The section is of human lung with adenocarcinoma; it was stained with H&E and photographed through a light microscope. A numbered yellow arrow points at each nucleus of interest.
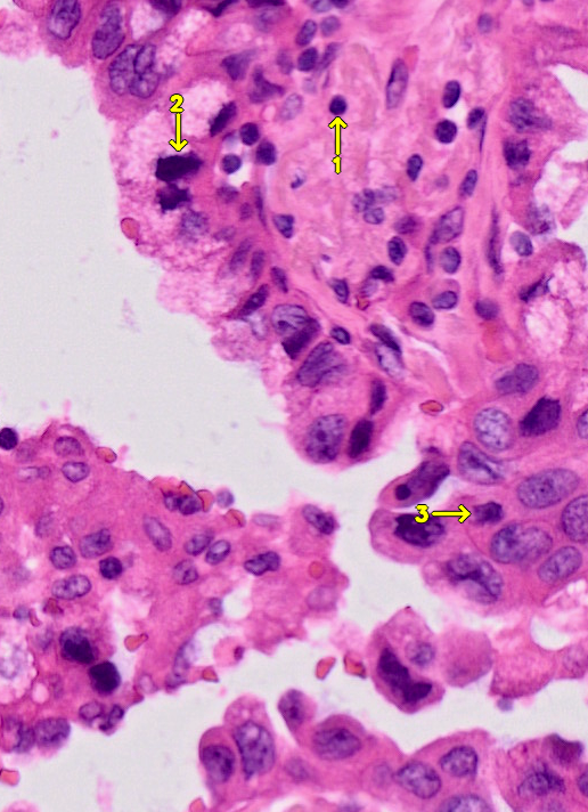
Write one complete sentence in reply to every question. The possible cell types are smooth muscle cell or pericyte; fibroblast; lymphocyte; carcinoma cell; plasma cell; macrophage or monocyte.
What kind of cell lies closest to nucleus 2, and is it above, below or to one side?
It is a carcinoma cell, whose nucleus lies below nucleus 2.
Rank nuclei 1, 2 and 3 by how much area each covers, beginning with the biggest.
Largest first, the order by area is 2, 3, 1.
